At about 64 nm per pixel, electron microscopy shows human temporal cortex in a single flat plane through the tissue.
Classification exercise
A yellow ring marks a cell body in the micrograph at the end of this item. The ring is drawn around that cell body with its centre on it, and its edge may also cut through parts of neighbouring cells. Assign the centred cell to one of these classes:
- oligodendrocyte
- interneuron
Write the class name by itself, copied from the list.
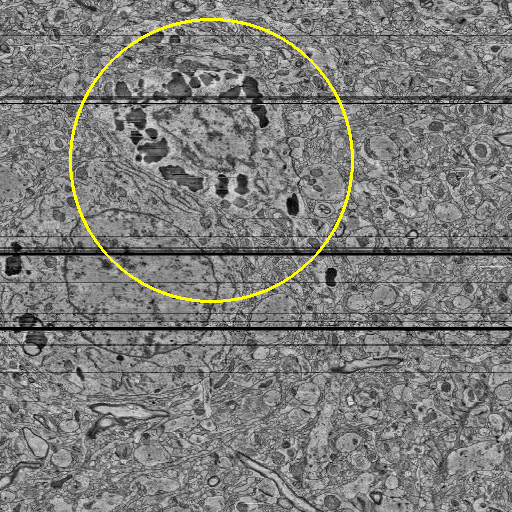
interneuron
